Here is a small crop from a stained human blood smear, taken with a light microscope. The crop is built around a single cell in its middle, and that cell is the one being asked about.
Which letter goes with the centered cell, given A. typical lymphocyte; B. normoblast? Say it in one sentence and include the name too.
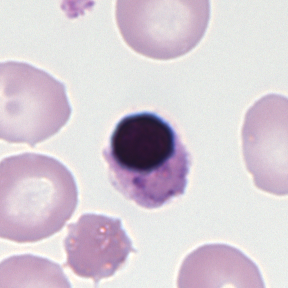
For this crop, option B is right, the centered cell being a normoblast.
